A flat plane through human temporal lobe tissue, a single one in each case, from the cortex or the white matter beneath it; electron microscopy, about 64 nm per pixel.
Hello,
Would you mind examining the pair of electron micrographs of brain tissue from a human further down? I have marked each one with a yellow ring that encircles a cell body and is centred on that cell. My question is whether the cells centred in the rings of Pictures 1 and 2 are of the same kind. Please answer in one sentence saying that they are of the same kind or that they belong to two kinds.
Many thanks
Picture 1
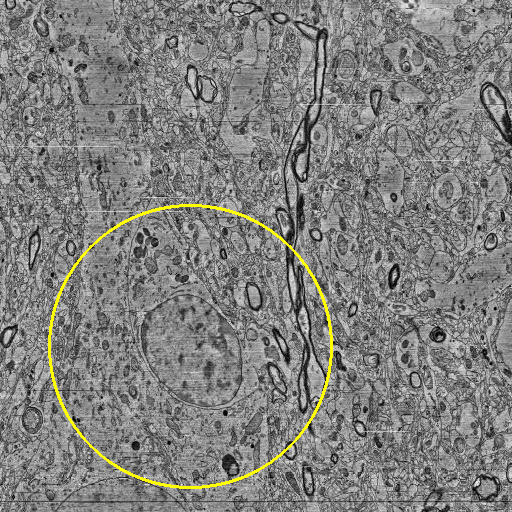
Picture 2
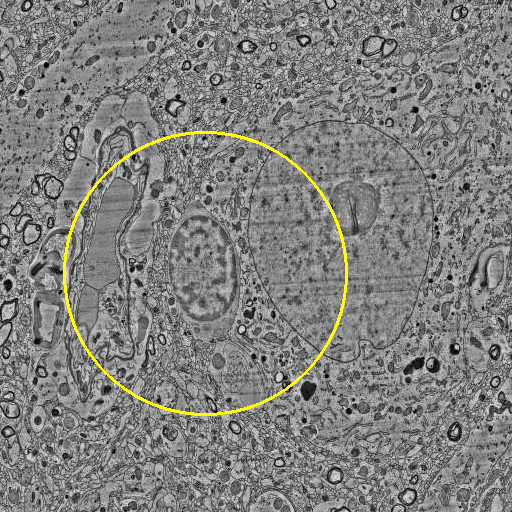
In Pictures 1 and 2, the cells at the heart of the rings belong to two kinds.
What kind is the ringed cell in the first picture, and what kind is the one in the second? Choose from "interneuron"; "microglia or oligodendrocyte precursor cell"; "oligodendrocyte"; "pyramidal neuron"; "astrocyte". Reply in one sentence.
The first cell is a microglial cell or oligodendrocyte precursor cell; the second is an oligodendrocyte.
